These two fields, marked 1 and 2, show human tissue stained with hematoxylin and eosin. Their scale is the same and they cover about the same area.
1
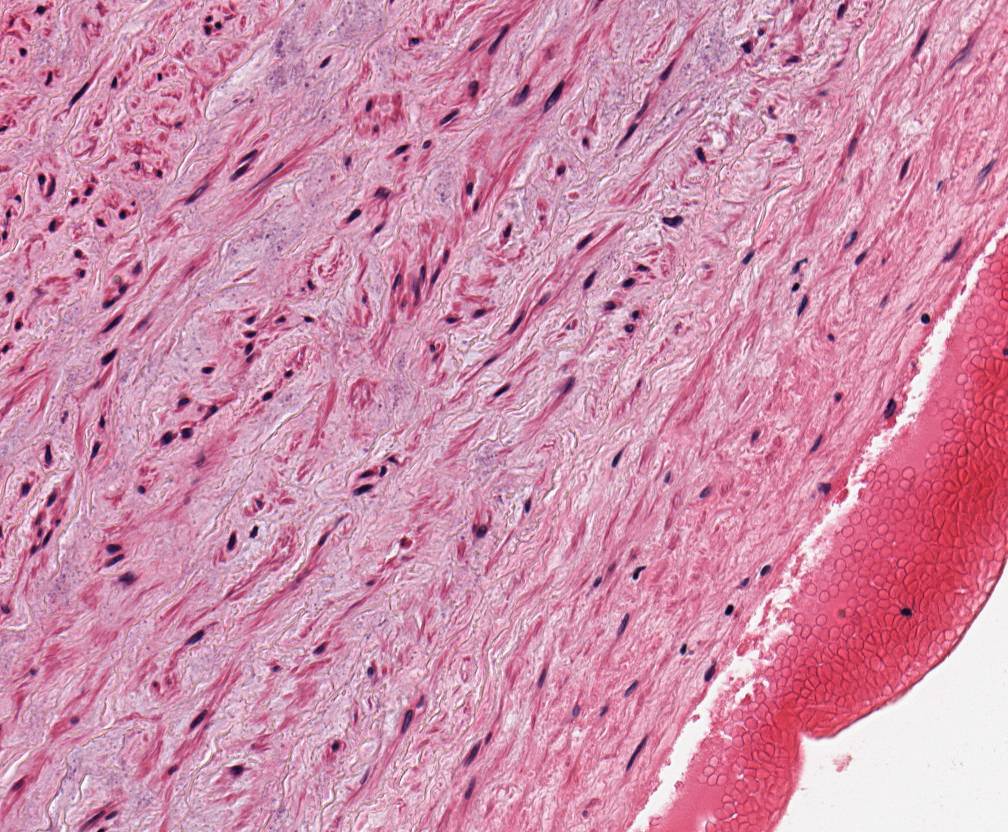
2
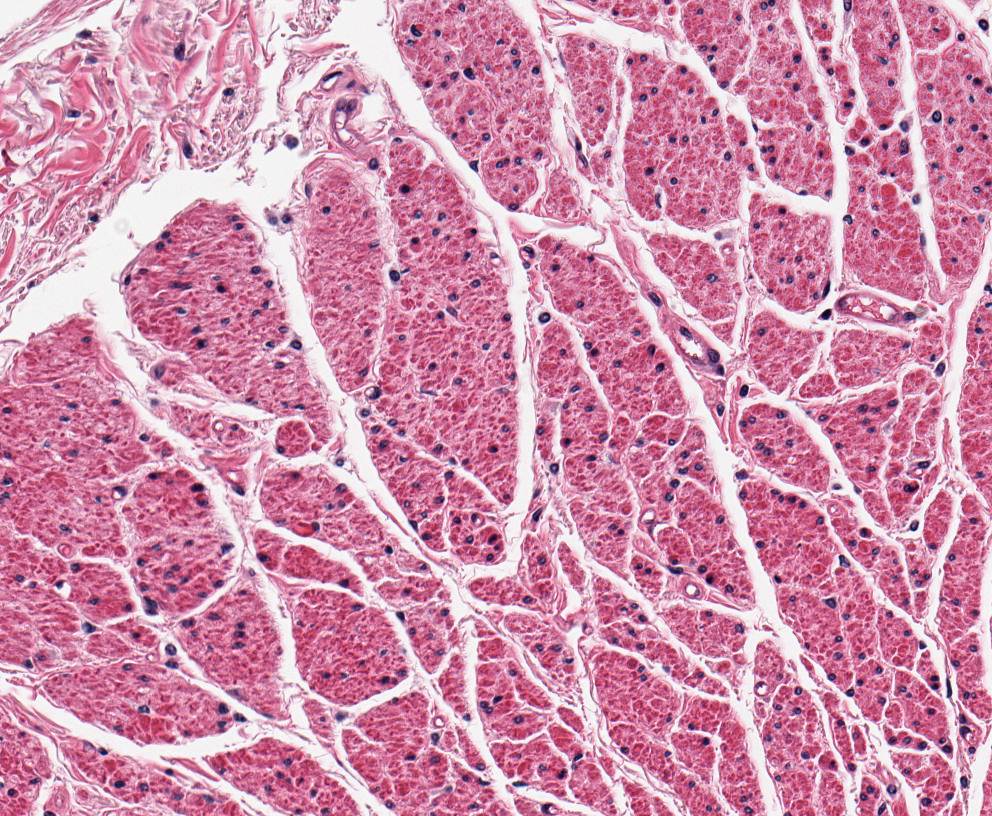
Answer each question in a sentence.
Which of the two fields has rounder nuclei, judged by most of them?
The nuclei are rounder in field 2.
